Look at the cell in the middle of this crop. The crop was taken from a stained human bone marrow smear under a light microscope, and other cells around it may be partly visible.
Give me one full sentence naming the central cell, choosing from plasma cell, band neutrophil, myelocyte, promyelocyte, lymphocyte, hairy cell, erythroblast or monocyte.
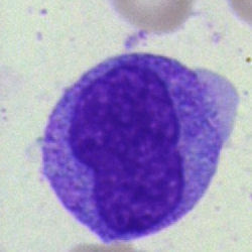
The cell found in the middle of this crop is a promyelocyte.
